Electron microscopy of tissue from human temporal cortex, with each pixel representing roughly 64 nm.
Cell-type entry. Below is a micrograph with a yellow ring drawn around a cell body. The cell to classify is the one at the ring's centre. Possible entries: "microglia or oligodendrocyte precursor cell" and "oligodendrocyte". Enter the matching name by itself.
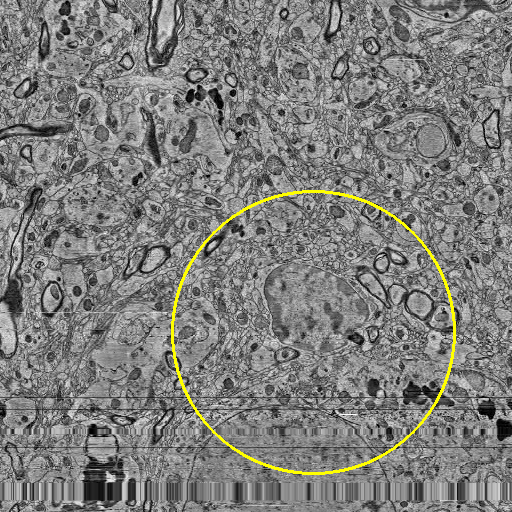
microglia or oligodendrocyte precursor cell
